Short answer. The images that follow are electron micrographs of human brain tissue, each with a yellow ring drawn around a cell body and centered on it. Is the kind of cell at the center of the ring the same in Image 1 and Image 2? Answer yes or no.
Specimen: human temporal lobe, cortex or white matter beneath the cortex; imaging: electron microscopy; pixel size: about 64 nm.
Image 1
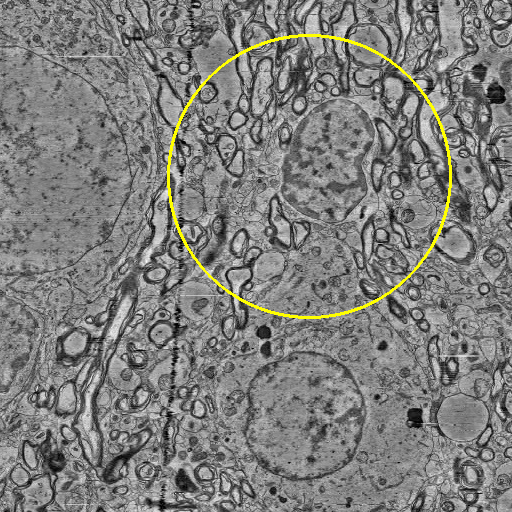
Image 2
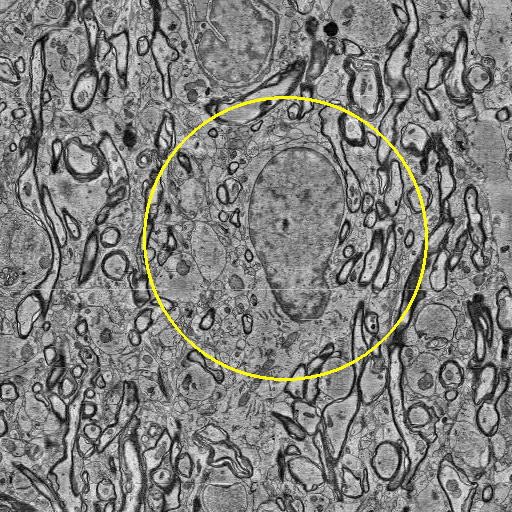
yes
